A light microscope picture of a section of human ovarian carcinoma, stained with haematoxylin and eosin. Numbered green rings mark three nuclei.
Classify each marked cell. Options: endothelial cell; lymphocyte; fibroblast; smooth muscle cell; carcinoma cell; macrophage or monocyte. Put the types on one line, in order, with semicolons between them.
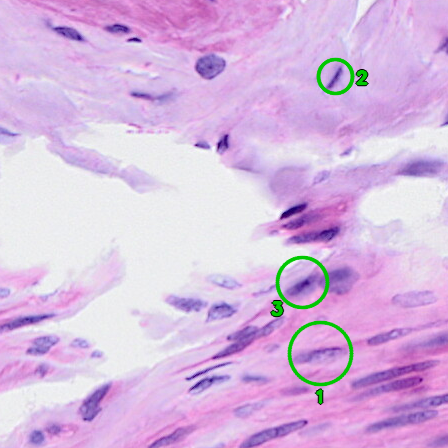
smooth muscle cell; fibroblast; fibroblast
